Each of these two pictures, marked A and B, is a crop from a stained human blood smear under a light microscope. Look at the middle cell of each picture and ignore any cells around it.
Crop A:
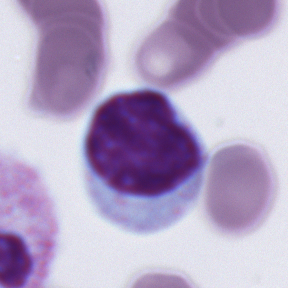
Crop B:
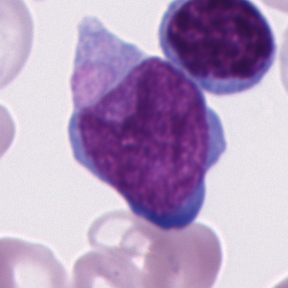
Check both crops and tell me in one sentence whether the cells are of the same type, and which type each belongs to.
No, crop A corresponds to a typical lymphocyte, while crop B corresponds to a myeloblast.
